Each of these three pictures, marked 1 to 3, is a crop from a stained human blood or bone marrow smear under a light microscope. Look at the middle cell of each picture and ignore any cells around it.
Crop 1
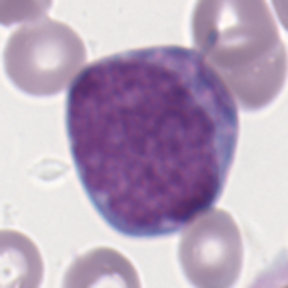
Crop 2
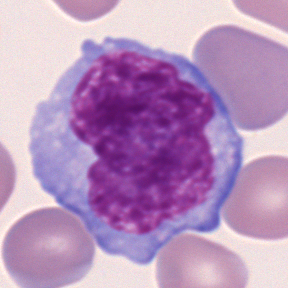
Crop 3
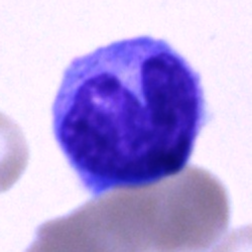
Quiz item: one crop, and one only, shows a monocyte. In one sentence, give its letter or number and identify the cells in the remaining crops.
To sum up, crop 3 shows a monocyte, while crop 1 is a promyelocyte and crop 2 is a blast.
